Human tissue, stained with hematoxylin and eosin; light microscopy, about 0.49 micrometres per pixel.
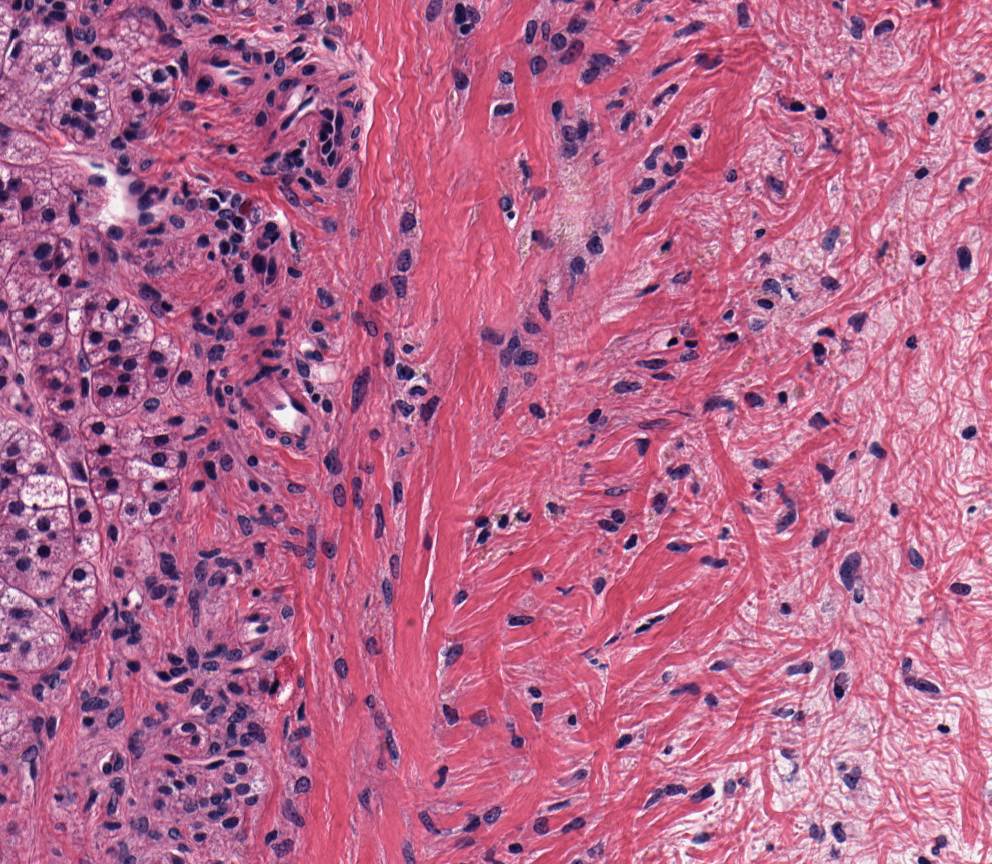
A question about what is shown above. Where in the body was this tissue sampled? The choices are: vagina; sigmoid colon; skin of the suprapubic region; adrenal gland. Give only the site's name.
adrenal gland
